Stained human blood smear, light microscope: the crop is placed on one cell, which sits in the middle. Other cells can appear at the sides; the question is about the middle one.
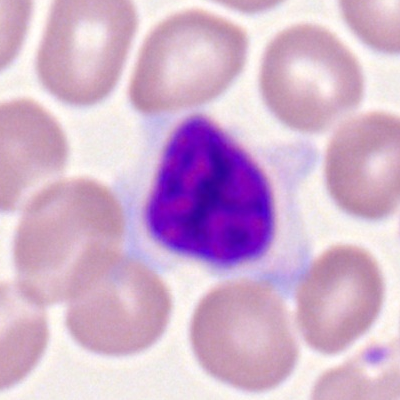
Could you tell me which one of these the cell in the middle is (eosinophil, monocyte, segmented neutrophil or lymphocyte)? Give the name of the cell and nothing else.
lymphocyte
